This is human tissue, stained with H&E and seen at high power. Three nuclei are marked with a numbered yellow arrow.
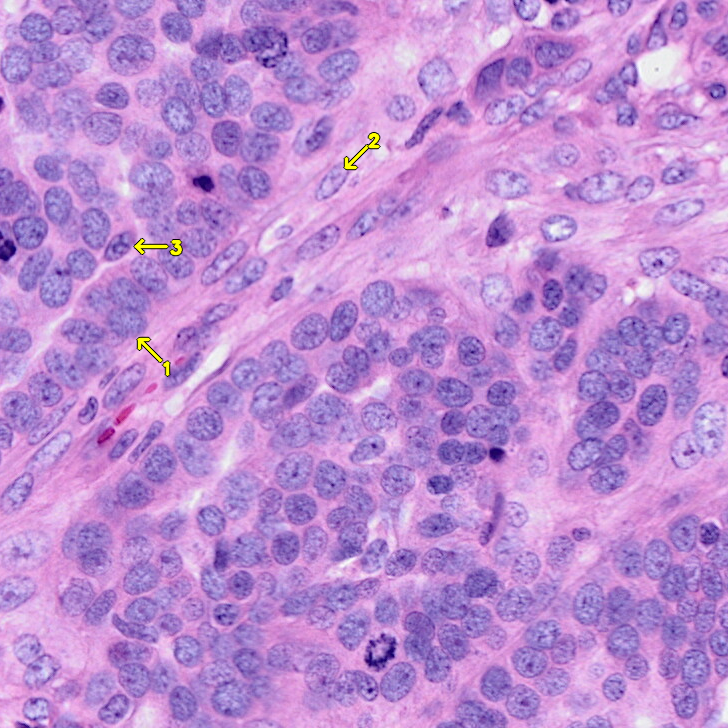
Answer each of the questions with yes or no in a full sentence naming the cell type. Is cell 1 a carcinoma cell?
Yes, the one numbered 1 is a carcinoma cell.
